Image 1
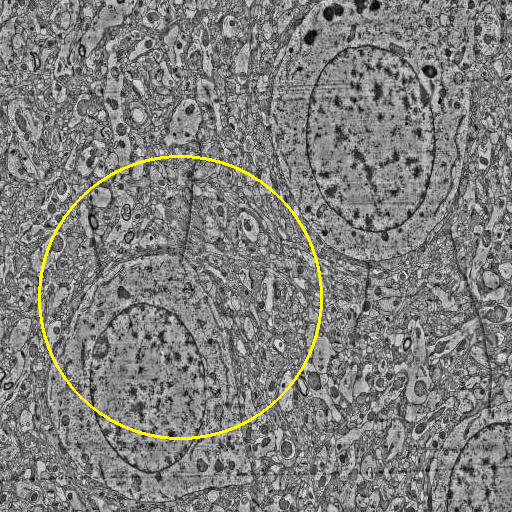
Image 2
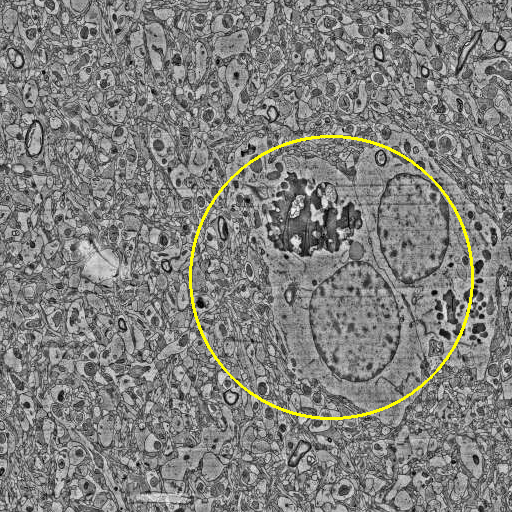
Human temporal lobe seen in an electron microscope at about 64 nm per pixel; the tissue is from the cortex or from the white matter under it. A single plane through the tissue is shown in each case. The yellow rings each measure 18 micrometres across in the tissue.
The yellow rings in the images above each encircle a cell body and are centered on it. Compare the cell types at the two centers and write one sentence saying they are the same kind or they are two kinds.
Taken together, the two cells at the ring centers are two kinds.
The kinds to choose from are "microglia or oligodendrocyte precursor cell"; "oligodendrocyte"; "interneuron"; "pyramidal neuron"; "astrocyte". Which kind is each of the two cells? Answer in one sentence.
Of the two, the first cell is a pyramidal neuron and the second cell is an astrocyte.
